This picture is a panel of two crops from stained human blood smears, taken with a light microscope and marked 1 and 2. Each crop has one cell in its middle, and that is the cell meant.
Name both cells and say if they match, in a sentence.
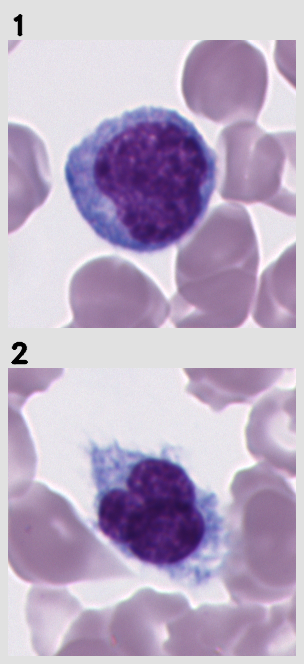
No, crop 1 shows a monocyte, whereas in crop 2 the cell is a hairy cell.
